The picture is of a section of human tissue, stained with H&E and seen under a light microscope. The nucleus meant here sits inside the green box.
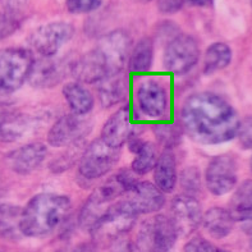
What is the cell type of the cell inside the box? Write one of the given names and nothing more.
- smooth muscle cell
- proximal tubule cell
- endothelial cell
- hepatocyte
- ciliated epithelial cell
ciliated epithelial cell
